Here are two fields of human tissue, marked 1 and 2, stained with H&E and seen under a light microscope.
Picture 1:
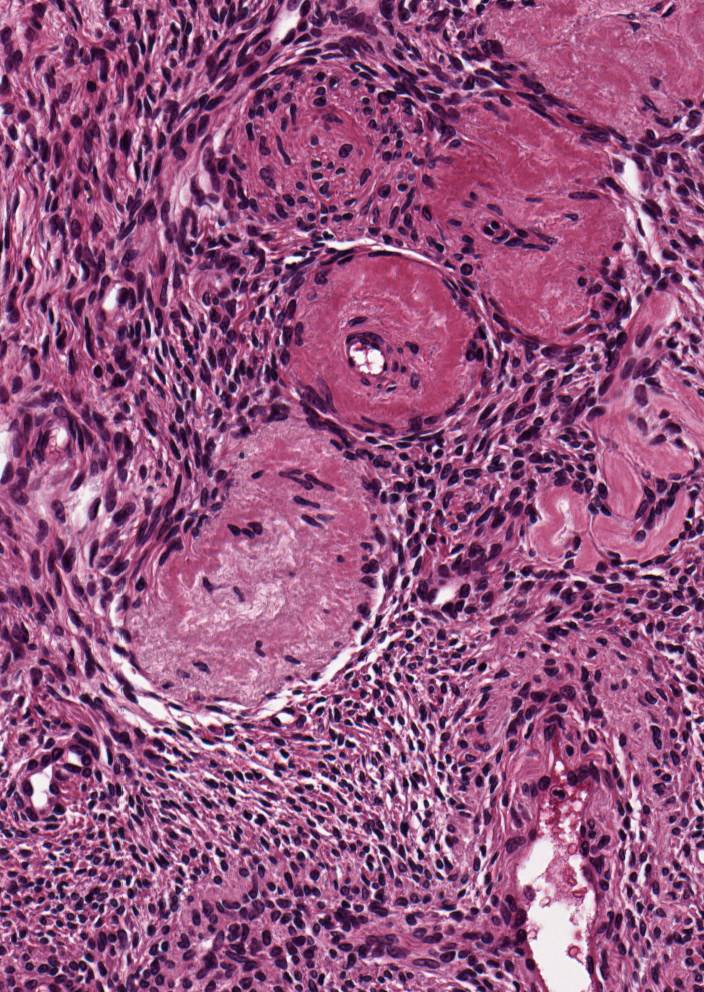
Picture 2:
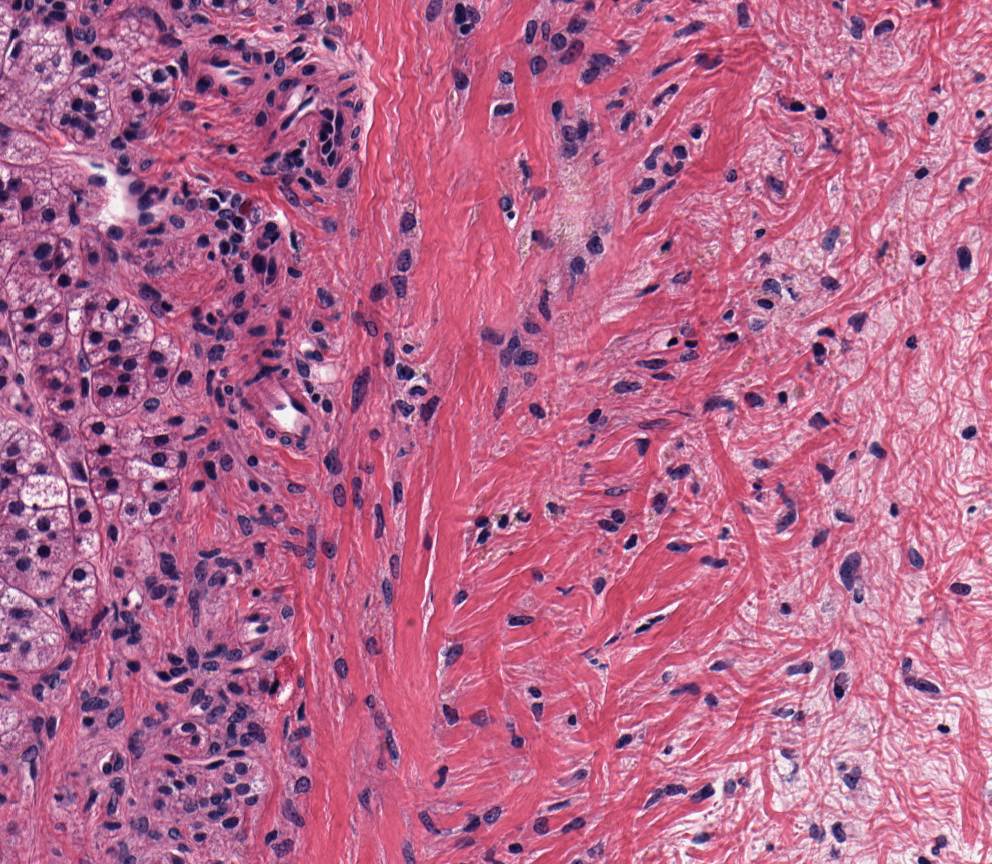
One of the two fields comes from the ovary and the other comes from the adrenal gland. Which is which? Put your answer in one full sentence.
Picture 2 comes from the adrenal gland, while picture 1 comes from the ovary.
